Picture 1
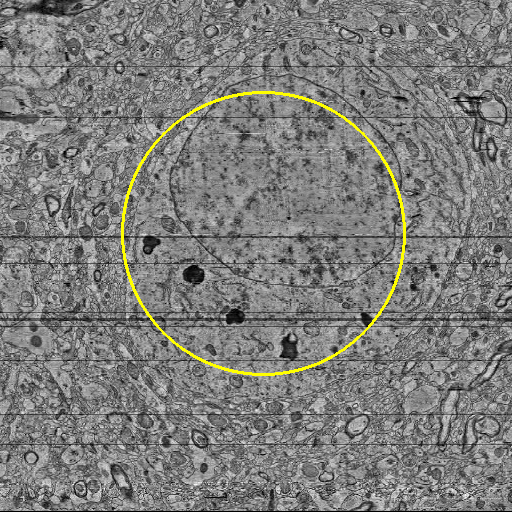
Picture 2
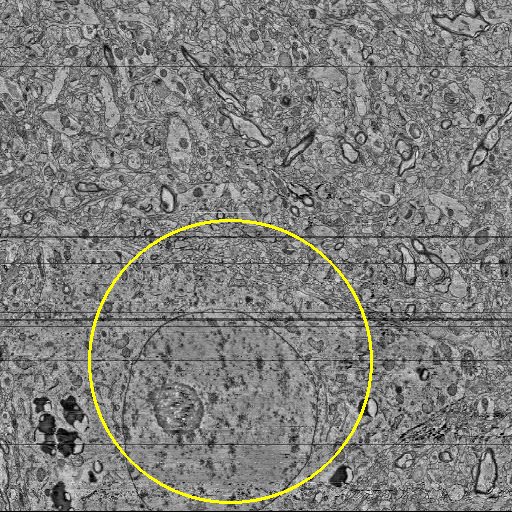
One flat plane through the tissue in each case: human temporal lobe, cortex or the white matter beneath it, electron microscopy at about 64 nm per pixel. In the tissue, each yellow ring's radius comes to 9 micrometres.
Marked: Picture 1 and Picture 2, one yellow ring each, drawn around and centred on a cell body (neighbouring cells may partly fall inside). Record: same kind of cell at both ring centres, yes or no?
yes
